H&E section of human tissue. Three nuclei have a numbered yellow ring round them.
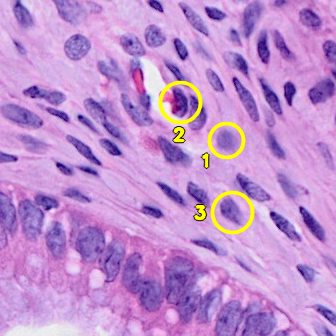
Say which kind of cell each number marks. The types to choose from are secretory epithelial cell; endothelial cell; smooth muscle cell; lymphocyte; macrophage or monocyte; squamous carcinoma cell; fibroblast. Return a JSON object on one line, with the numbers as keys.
{"1": "fibroblast", "2": "endothelial cell", "3": "fibroblast"}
